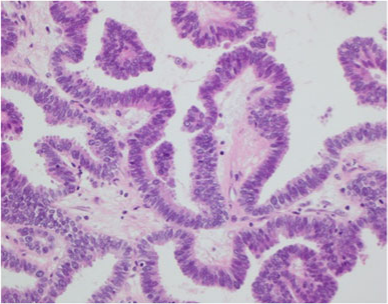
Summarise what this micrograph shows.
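Branching papillae of tumor epithelium with thin pink fibrovascular cores project into open lumina. The lining is a single to slightly stratified layer of columnar cells with crowded, elongated, purple nuclei and scant cytoplasm. No pale mucin vacuoles are seen within the cells. This is a papillary tumor whose cells lack mucus in the cytoplasm.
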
